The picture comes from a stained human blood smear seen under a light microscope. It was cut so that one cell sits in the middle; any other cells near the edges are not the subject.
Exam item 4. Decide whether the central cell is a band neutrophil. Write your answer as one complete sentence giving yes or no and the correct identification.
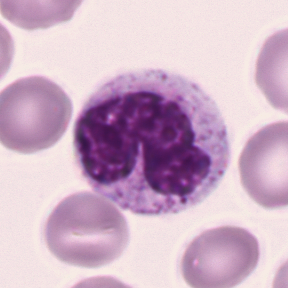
Yes, the cell at the centre is designated a band neutrophil.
